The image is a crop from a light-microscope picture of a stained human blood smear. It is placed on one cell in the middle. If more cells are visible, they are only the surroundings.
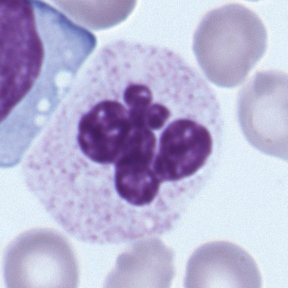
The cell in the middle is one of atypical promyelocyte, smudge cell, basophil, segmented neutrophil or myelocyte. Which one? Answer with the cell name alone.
segmented neutrophil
